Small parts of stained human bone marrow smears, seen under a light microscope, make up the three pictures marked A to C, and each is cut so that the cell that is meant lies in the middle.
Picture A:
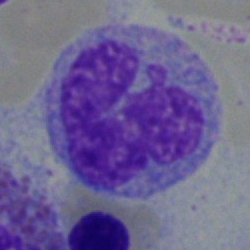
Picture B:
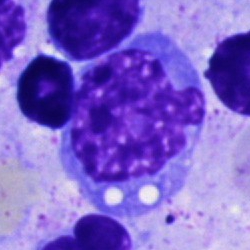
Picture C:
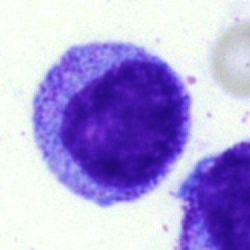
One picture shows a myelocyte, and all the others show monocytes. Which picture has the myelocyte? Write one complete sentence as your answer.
It is picture C that shows the myelocyte.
